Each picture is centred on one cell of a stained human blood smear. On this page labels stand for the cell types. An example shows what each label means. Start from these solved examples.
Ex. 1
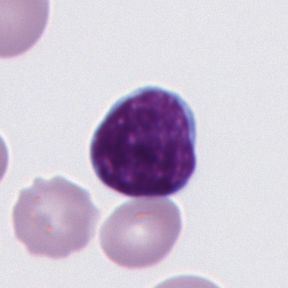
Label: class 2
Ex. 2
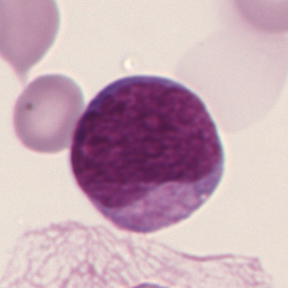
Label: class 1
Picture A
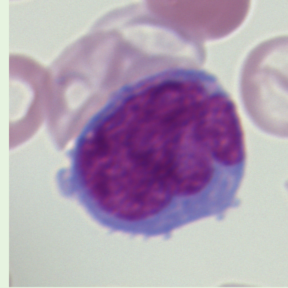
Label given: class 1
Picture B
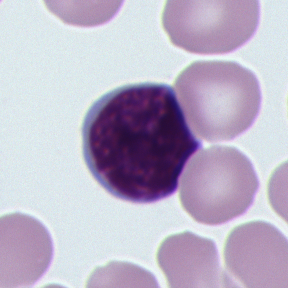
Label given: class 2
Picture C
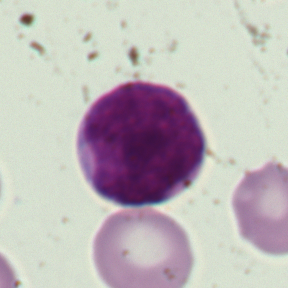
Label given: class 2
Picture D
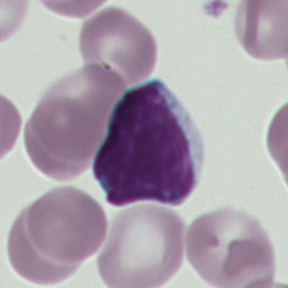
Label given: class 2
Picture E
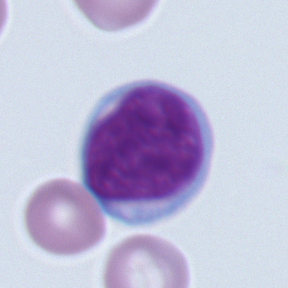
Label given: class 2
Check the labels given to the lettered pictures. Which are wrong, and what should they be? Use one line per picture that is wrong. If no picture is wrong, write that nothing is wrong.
C: not class 2 but class 1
